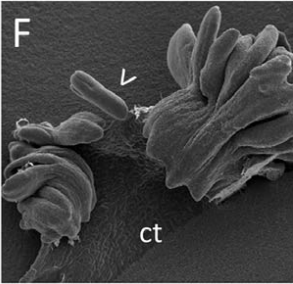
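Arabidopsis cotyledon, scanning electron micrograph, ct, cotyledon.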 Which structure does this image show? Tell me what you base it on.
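Several elongated, lobed outgrowths rise from the surface of the flat organ.
Somatic embryo.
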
